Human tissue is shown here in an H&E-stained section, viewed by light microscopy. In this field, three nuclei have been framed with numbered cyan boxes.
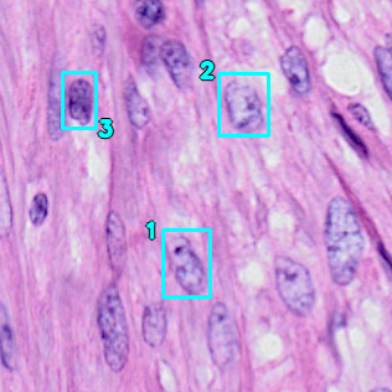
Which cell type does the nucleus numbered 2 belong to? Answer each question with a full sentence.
Belonging to a fibroblast is the nucleus that carries the number 2.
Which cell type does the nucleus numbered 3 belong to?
The numeral 3 marks a macrophage or monocyte in this section.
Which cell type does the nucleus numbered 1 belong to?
Recognised here as a fibroblast is the cell numbered 1.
